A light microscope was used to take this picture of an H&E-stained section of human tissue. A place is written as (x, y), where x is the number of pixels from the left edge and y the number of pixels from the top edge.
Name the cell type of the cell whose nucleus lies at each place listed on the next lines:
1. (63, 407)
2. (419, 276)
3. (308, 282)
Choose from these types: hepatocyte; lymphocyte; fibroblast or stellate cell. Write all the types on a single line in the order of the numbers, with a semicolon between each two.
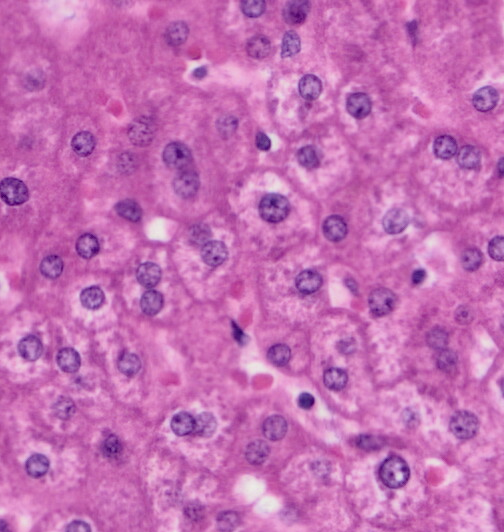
hepatocyte; lymphocyte; hepatocyte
